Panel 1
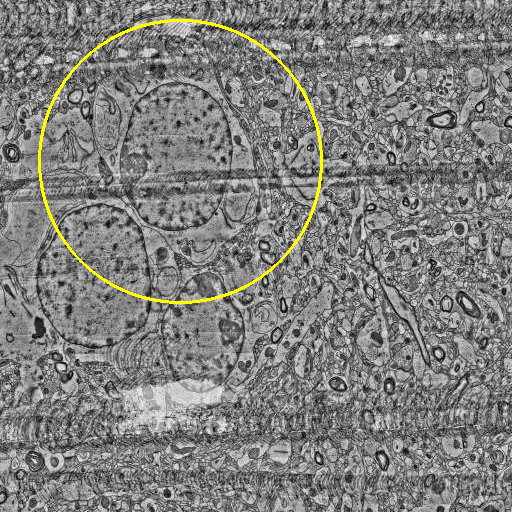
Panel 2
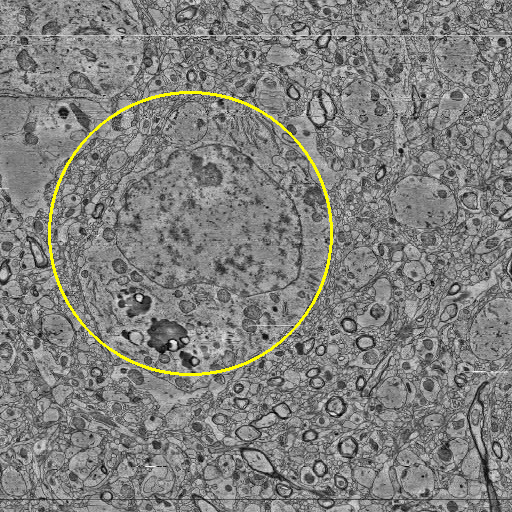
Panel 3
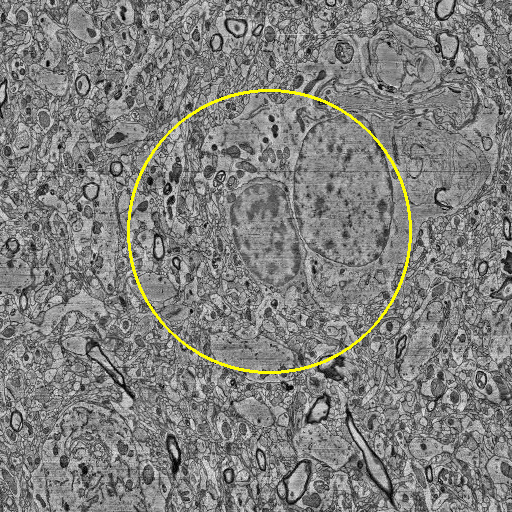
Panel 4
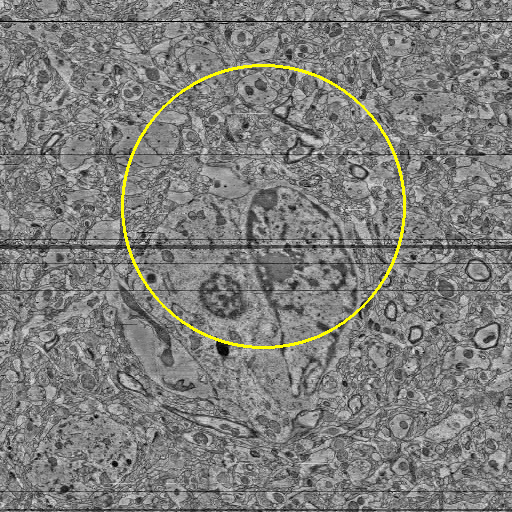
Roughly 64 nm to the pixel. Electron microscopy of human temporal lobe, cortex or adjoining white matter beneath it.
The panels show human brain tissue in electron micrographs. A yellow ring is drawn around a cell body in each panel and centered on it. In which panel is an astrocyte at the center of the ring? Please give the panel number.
1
